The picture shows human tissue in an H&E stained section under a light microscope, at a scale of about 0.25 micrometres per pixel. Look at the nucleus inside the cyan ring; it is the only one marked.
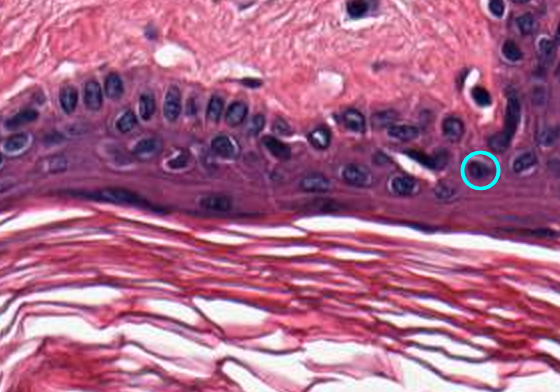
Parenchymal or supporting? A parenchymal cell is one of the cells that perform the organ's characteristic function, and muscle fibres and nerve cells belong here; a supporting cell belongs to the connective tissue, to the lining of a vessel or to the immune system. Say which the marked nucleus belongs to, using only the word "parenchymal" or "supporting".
parenchymal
